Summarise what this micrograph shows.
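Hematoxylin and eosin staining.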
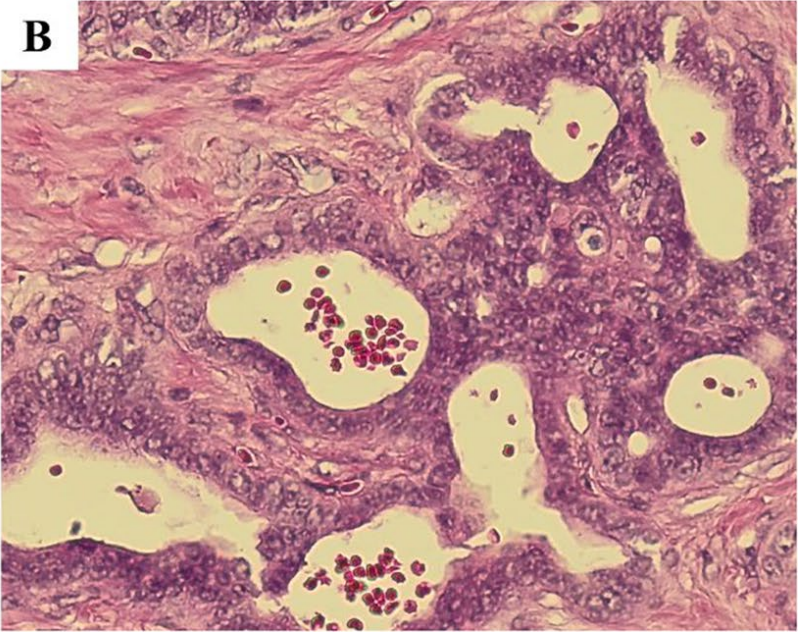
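Atypical glandular epithelium forming dilated tubular glands of varied size, lined by crowded cuboidal cells with large, rounded, vesicular purple nuclei and little cytoplasm. Some lumina hold red blood cells, and pink fibrous stroma lies at the upper left.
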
